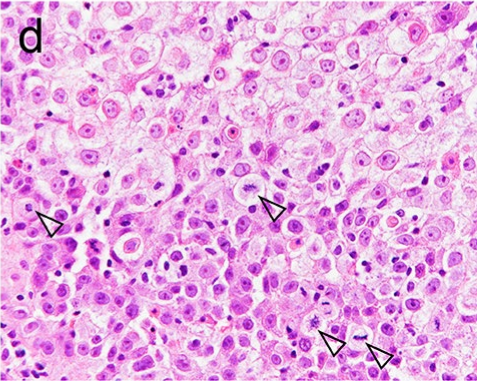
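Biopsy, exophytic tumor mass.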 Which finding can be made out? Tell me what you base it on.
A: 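Many nuclei are large with a visible nucleolus. The answer: enlarged and centrally placed round nuclei.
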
